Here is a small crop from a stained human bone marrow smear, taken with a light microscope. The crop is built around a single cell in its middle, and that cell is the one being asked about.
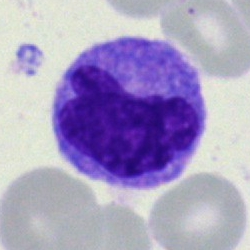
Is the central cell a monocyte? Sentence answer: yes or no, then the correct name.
Yes, the cell that the crop is centred on is a monocyte.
